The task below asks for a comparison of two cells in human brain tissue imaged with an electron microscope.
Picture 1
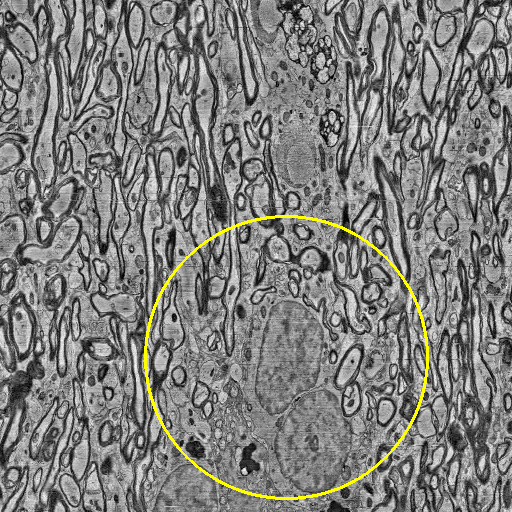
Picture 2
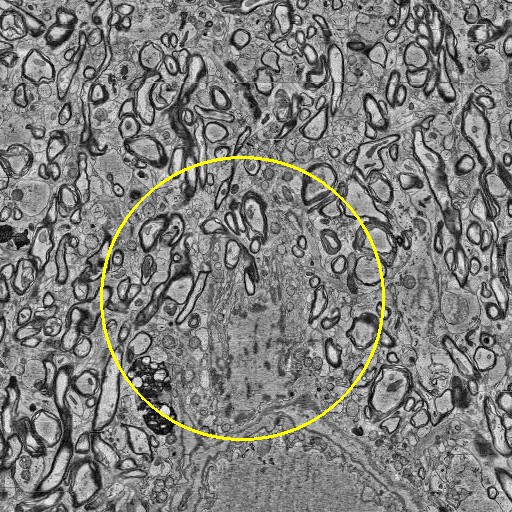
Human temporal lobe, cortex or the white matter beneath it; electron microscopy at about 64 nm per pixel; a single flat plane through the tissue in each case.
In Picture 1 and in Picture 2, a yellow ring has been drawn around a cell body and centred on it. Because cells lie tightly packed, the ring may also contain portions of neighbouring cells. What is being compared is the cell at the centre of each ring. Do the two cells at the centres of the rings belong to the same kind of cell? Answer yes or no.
no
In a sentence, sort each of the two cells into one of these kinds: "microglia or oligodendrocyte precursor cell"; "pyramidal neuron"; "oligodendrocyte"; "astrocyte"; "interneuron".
The first of the two cells is an oligodendrocyte, and the second is an astrocyte.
